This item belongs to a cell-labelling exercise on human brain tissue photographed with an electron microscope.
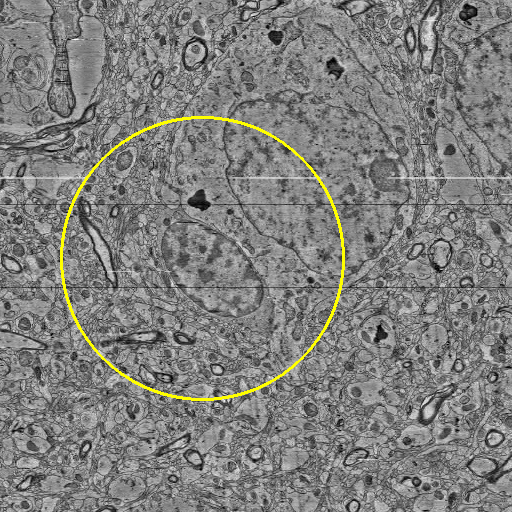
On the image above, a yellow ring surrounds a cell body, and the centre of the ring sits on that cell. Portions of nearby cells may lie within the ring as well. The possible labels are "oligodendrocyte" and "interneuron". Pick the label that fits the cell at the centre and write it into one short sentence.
This cell should be labelled as an oligodendrocyte.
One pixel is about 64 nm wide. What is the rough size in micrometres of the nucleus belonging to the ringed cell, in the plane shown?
About 8 by 5 micrometres, the nucleus being clearly longer than it is wide in this plane.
